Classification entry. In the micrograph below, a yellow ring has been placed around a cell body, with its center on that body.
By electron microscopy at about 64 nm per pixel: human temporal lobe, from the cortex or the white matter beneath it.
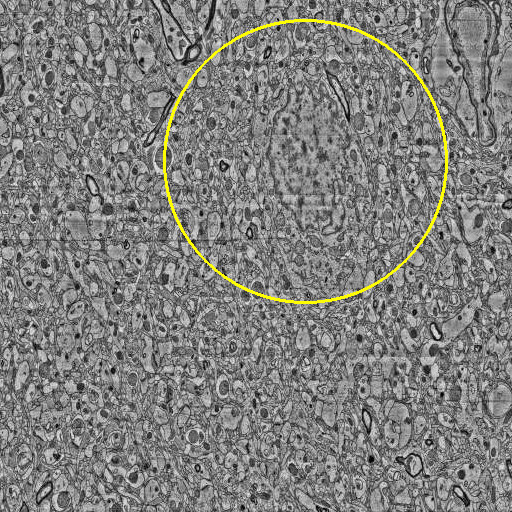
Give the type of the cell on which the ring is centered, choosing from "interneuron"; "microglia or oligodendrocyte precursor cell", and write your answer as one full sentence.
The cell body at the center of the yellow ring belongs to an interneuron.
